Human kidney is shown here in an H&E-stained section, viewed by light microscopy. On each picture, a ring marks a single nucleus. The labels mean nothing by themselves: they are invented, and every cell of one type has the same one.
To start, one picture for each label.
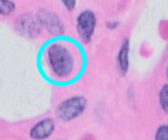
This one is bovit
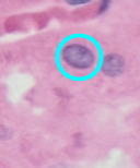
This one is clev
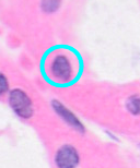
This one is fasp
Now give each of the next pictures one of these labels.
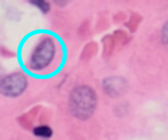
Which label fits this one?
fasp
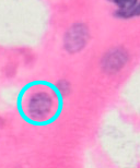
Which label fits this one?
clev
